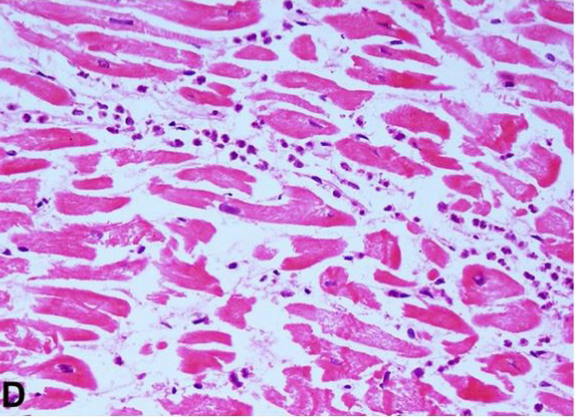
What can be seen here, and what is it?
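Heart muscle at high power shows cardiomyocytes cut in various planes, with deep pink cytoplasm, lying amid scattered neutrophils. The muscle fibers are broken into irregular, separated fragments, and many of them show no nucleus. Between the fibers lie numerous small cells with dark, lobed nuclei and little cytoplasm, spread through widened spaces rather than gathered in one place.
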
